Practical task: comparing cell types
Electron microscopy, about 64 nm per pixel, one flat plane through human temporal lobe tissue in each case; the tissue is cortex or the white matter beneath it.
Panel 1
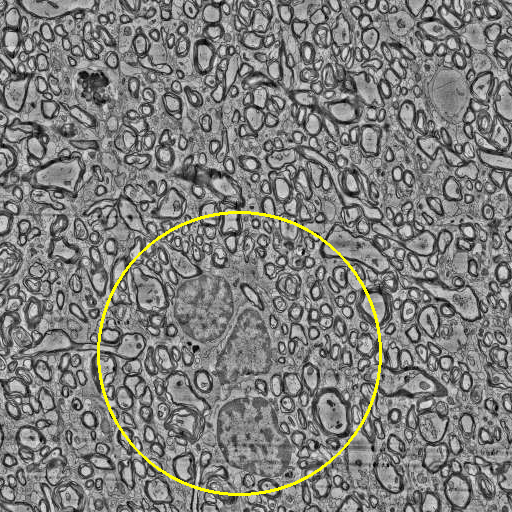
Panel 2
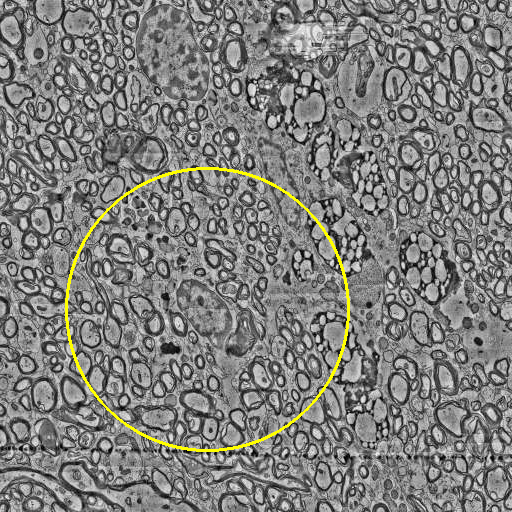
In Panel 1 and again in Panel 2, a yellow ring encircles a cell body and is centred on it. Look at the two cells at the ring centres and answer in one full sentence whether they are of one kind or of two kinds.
The two cells sitting at the ring centres of Panels 1 and 2 are of two kinds.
